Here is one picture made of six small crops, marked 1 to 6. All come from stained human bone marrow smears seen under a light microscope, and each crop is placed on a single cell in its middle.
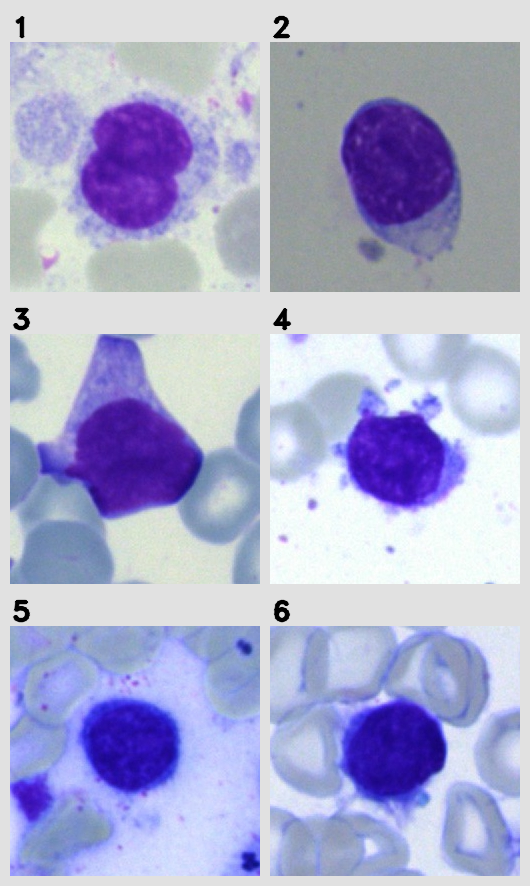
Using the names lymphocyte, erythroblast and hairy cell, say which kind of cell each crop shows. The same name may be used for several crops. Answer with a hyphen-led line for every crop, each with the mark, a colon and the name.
- 1: hairy cell
- 2: lymphocyte
- 3: lymphocyte
- 4: lymphocyte
- 5: lymphocyte
- 6: lymphocyte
